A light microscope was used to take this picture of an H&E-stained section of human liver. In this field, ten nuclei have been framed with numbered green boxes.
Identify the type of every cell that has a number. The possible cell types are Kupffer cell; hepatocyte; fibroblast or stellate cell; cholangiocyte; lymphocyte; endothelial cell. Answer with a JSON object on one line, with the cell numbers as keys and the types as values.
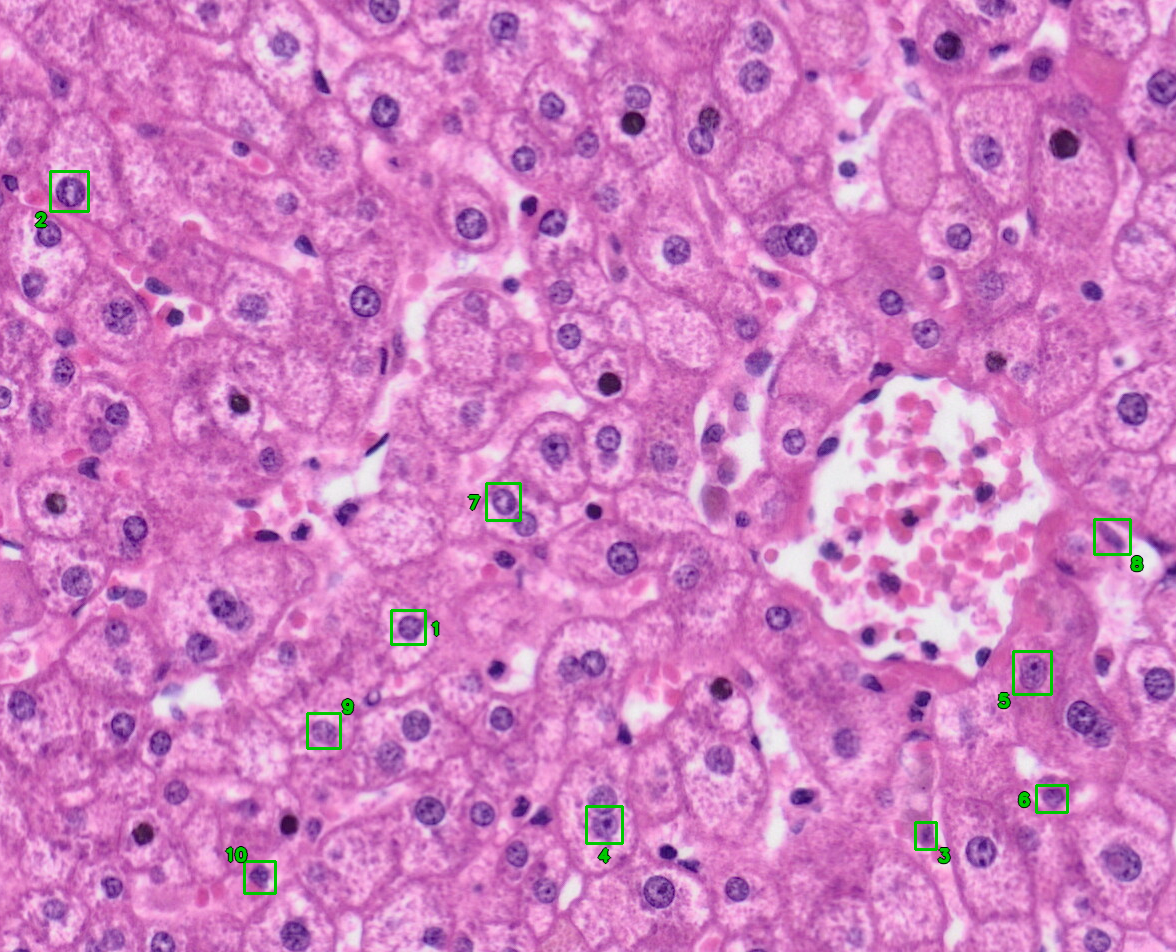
{"1": "hepatocyte", "2": "hepatocyte", "3": "Kupffer cell", "4": "hepatocyte", "5": "hepatocyte", "6": "Kupffer cell", "7": "hepatocyte", "8": "Kupffer cell", "9": "hepatocyte", "10": "endothelial cell"}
